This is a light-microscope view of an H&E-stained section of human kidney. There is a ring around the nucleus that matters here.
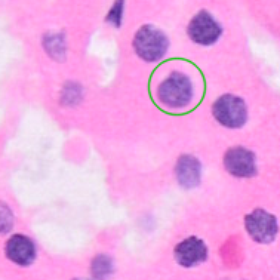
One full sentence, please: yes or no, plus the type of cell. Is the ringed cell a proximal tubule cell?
No, score the ringed cell as a loop of Henle or distal tubule cell; it is not a proximal tubule cell.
